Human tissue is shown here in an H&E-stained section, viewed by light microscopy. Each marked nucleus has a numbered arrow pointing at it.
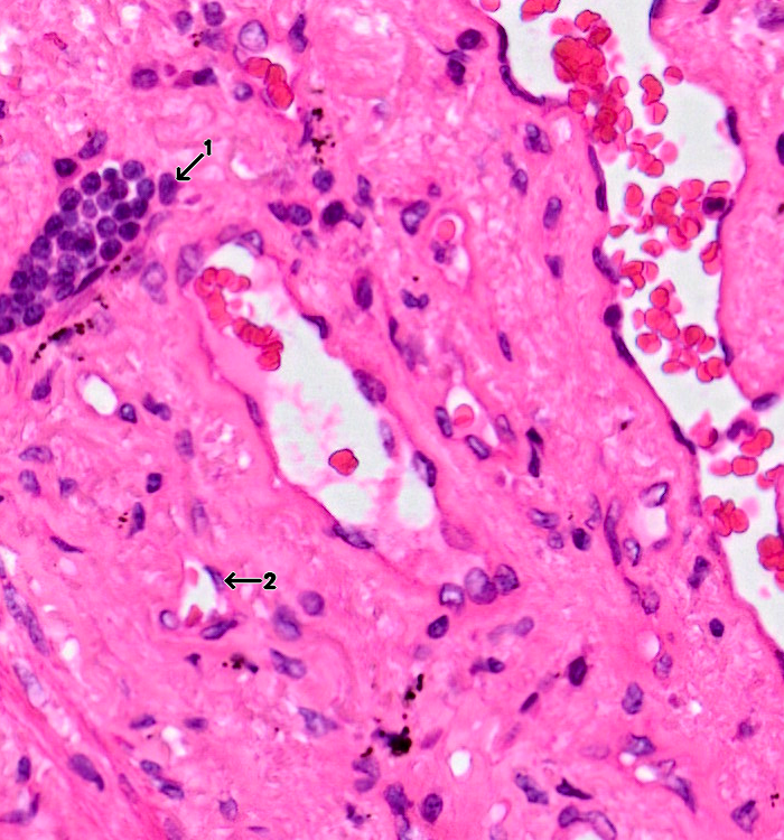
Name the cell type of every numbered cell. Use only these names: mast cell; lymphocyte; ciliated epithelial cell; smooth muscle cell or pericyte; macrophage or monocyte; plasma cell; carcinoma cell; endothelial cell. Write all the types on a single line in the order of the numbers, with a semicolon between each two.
lymphocyte; endothelial cell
